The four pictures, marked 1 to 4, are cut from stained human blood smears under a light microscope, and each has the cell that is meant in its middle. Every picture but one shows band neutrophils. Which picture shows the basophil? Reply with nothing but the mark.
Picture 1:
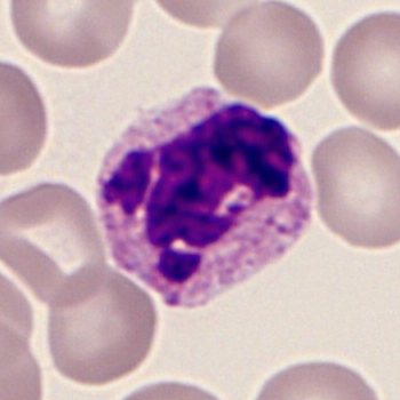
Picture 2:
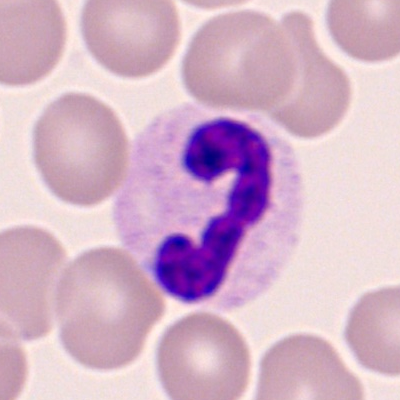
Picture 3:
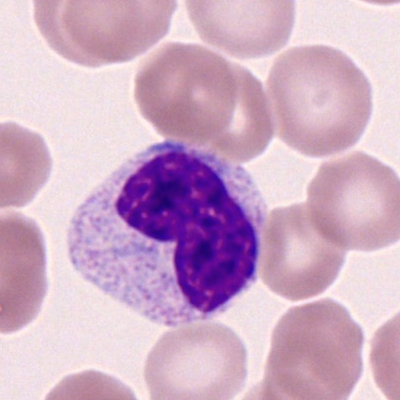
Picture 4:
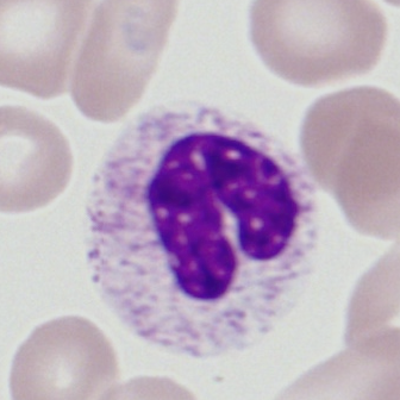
1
